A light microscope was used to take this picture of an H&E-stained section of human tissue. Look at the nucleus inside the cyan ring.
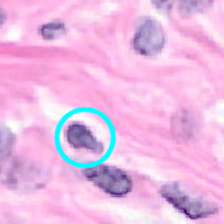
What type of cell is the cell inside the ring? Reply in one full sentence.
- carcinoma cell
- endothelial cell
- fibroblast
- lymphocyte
For the purposes of cell typing, the cell inside the ring is categorized as a lymphocyte.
